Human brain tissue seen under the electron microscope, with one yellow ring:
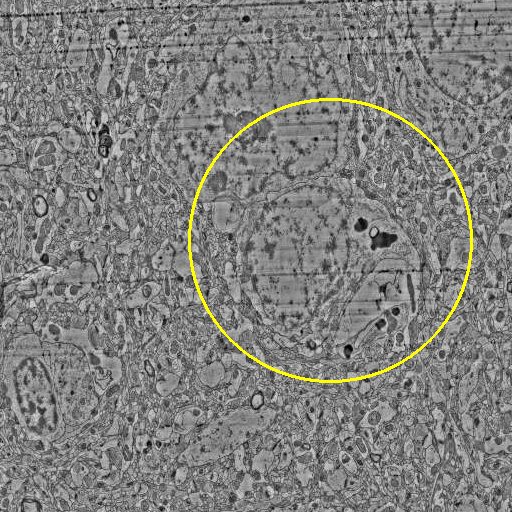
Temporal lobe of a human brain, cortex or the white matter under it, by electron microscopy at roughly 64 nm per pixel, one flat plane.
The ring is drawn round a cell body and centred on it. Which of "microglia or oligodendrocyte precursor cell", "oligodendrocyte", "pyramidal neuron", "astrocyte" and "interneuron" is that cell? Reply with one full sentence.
The picture shows an interneuron at the very centre of the yellow ring.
